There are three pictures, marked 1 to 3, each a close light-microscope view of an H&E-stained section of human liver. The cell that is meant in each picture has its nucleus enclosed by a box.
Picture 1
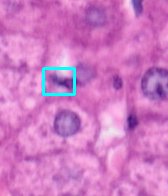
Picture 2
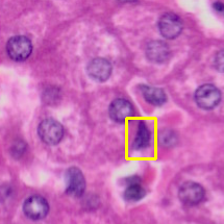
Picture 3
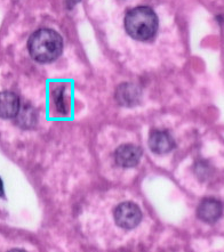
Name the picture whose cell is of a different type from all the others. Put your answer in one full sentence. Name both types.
Unlike the rest, which show endothelial cells, picture 2 shows a “fibroblast or stellate cell”.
